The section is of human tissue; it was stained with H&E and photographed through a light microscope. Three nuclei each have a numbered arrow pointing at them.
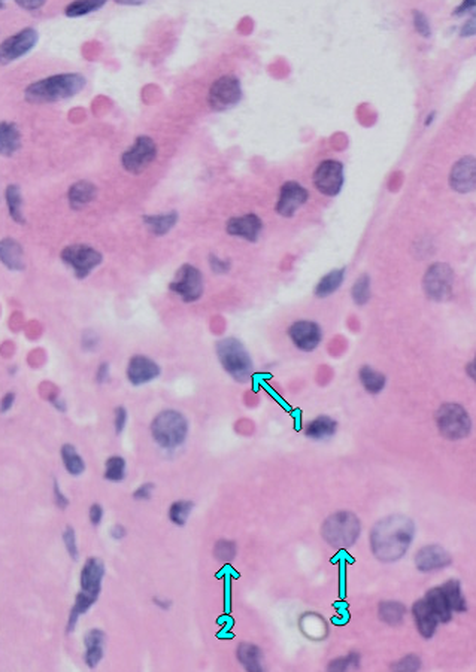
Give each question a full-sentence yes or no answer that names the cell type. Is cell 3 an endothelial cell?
No, the cell denoted 3 is a proximal tubule cell rather than an endothelial cell.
